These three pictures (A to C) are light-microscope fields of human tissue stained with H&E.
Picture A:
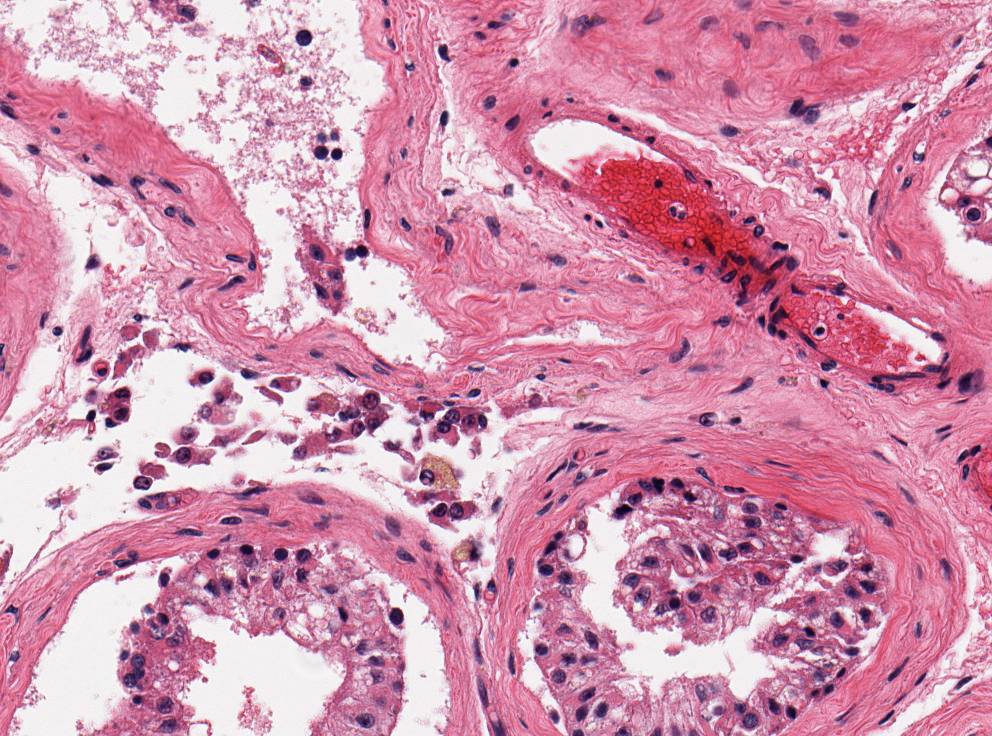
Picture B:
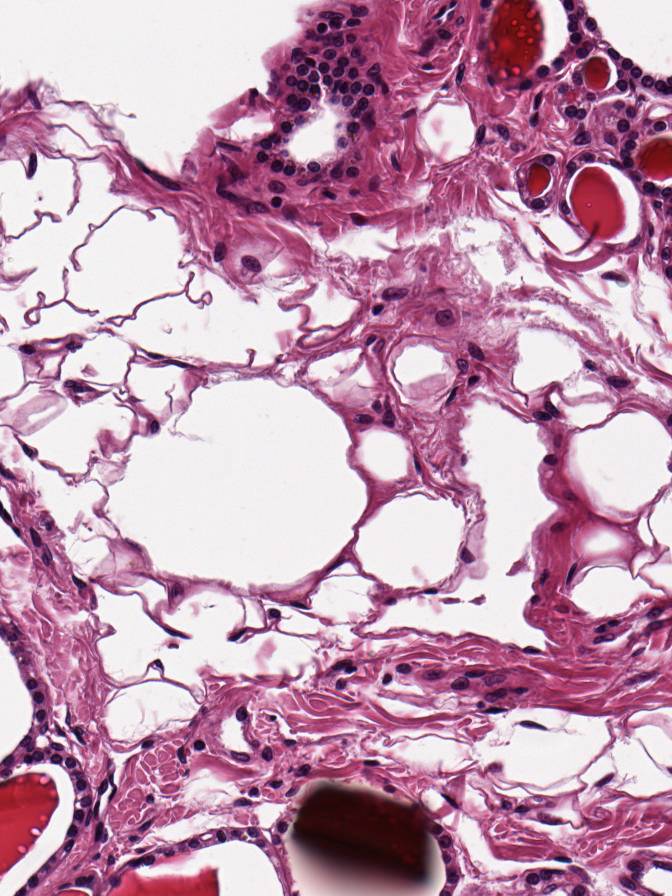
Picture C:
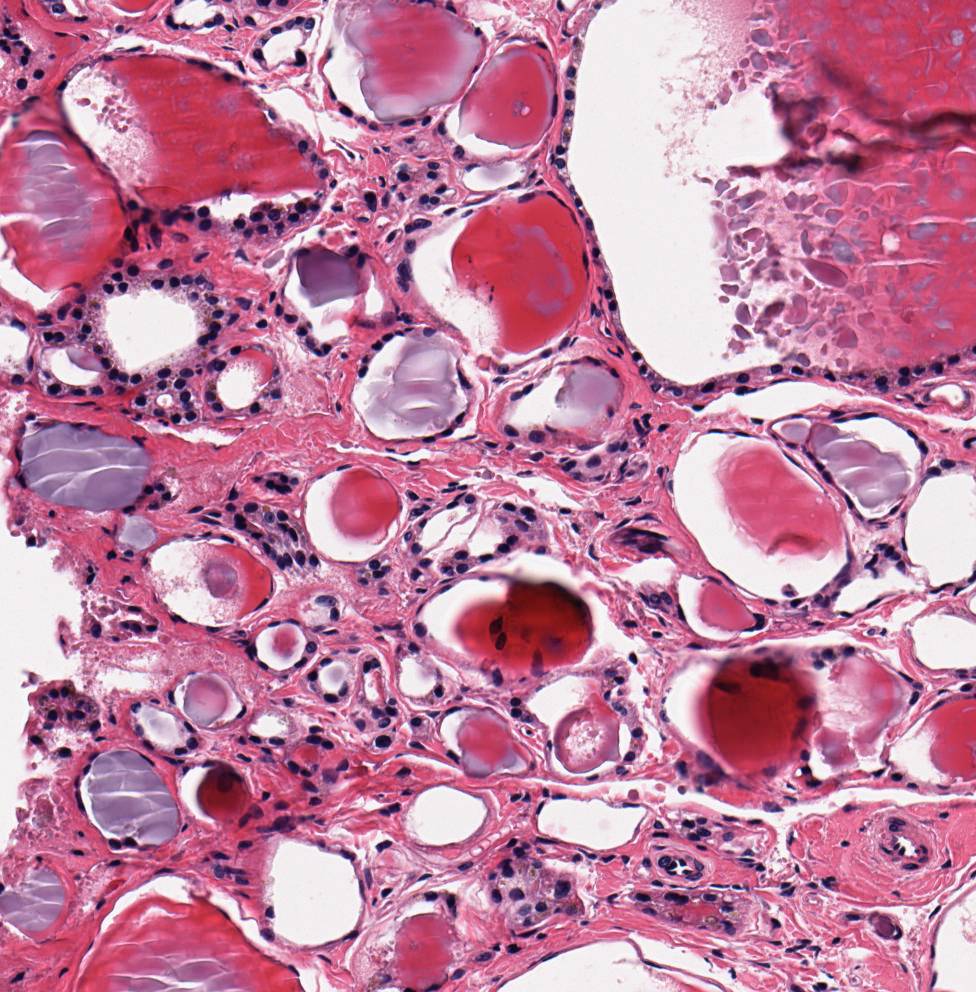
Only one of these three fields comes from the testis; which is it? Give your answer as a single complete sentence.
Picture A is the field that comes from the testis.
